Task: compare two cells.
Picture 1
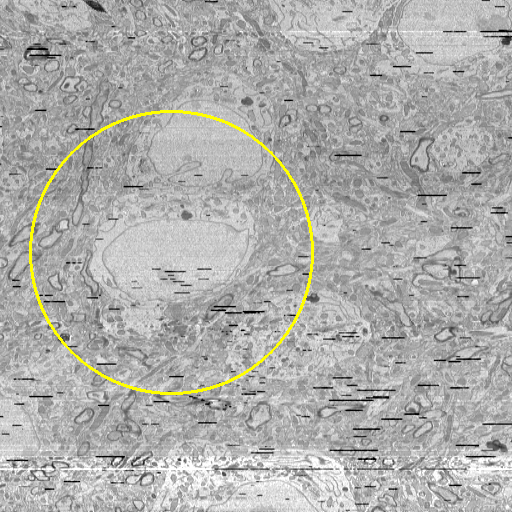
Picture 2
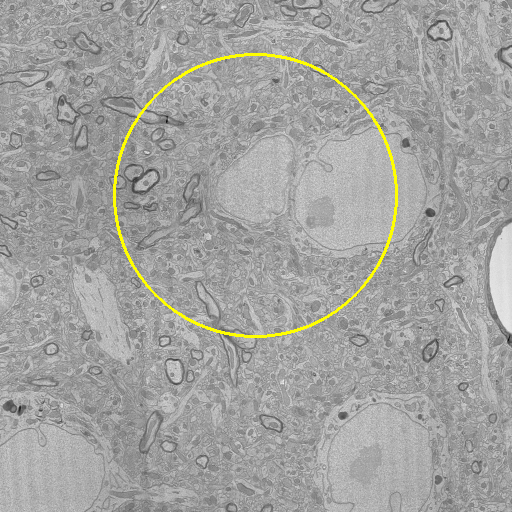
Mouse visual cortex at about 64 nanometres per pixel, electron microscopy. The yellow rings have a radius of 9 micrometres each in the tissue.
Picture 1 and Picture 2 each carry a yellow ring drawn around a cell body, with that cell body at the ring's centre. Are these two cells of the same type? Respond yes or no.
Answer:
no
